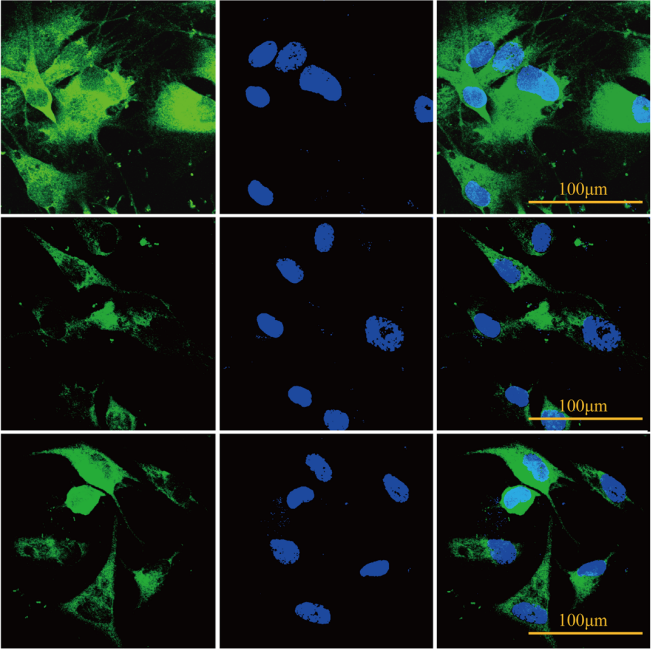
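The cells are flattened and spread on the dish, with irregular, polygonal to stellate bodies that send out thin, branching processes. Each cell has a single oval blue nucleus, and the green label fills the cytoplasm around it and reaches out into the processes, with a finely granular texture. In the top row the green cytoplasm is bright and broad, and the cells lie close together, overlapping one another. In the middle row the green is much fainter and patchier, the cell bodies look smaller and more fragmented, and the cells lie farther apart. The bottom row is in between, with cells that again show a clear green body and long processes around their nuclei.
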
